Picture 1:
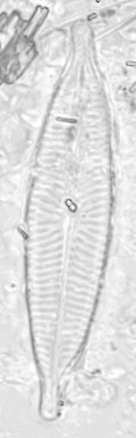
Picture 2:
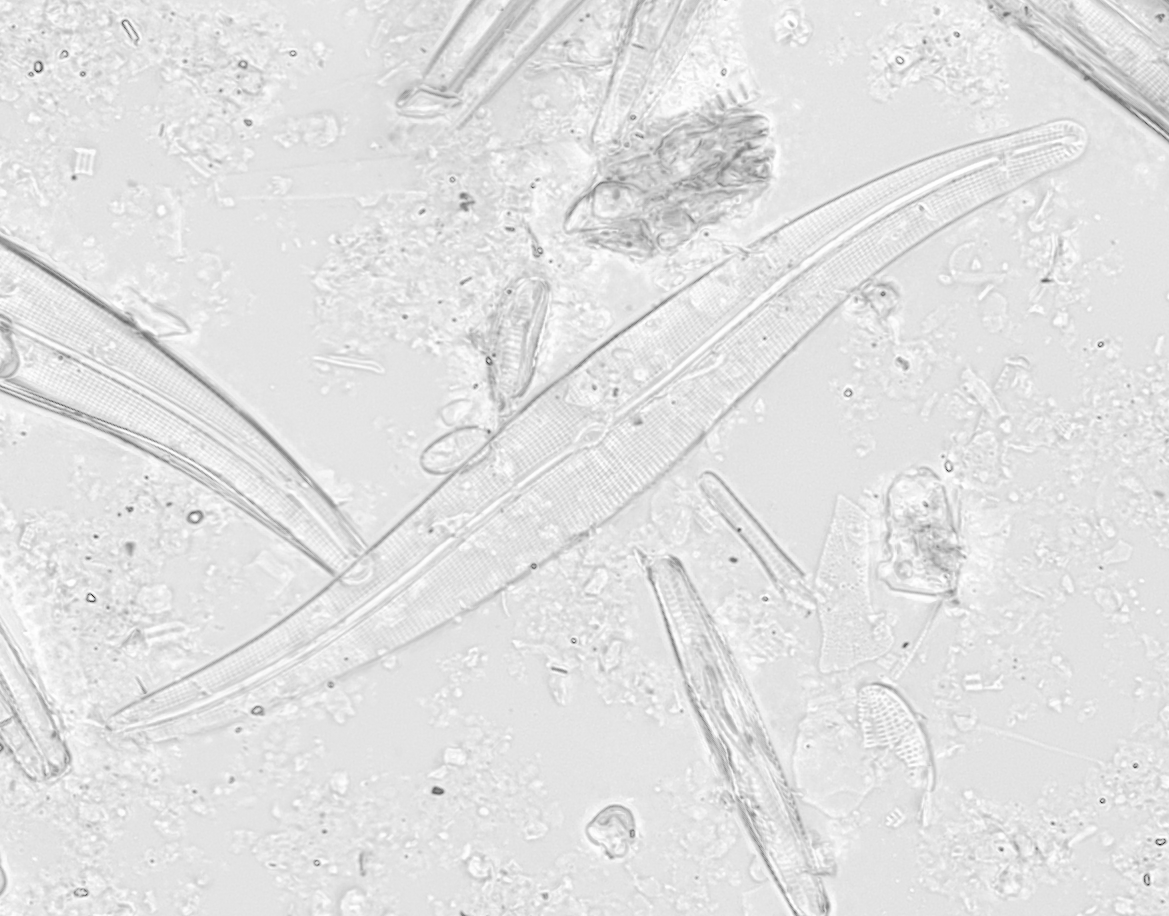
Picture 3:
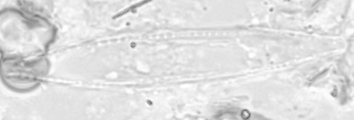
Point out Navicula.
That is picture 1.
